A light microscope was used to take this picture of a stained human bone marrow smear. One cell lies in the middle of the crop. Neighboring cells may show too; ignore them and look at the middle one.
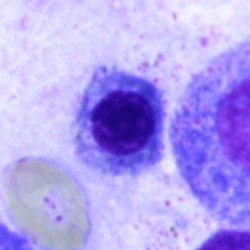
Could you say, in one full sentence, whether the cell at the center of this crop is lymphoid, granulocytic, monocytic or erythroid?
The middle cell of the crop belongs with the cells of the erythroid lineage.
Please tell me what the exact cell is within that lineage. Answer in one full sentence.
The middle of this crop holds an erythroblast.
